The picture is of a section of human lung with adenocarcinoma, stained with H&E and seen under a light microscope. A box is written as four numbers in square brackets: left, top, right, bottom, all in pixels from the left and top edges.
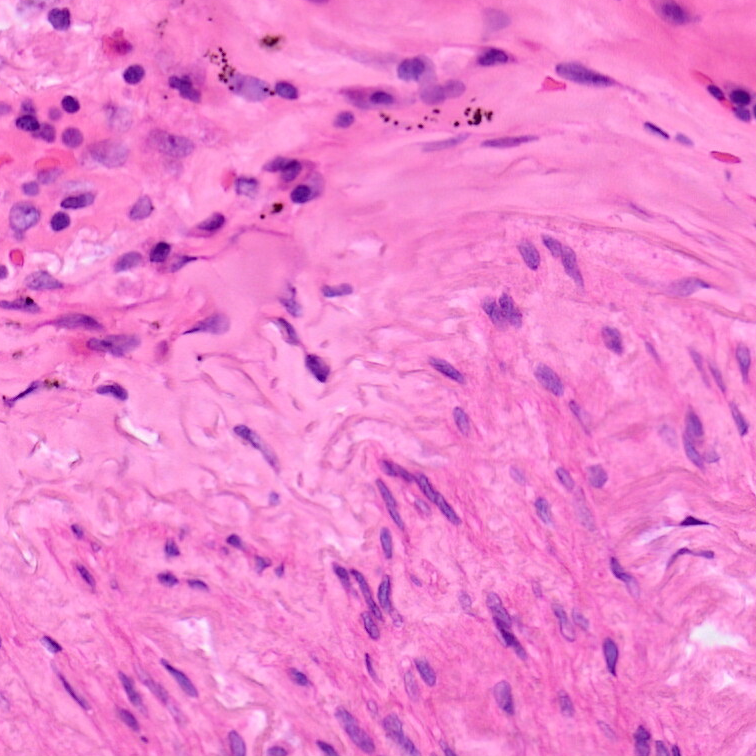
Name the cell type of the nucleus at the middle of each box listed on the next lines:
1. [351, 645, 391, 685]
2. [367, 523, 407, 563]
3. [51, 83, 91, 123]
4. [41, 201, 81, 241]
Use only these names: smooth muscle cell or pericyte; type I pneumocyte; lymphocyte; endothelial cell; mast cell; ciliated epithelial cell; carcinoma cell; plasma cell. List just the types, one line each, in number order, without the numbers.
smooth muscle cell or pericyte
smooth muscle cell or pericyte
lymphocyte
lymphocyte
